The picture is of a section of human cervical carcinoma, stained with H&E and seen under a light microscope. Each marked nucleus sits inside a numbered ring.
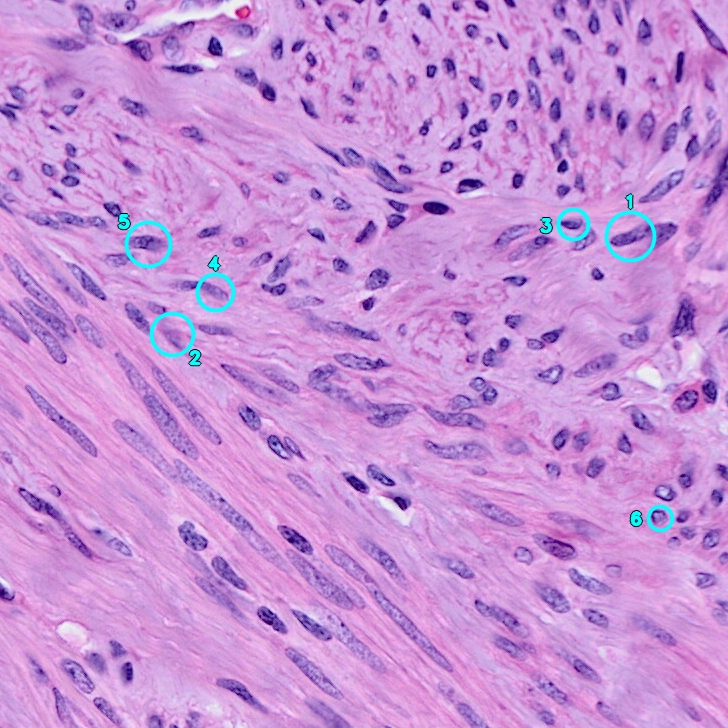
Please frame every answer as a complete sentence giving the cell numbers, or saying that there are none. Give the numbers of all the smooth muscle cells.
The cells numbered 2, 4, 5 and 6 are identified as smooth muscle cells.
